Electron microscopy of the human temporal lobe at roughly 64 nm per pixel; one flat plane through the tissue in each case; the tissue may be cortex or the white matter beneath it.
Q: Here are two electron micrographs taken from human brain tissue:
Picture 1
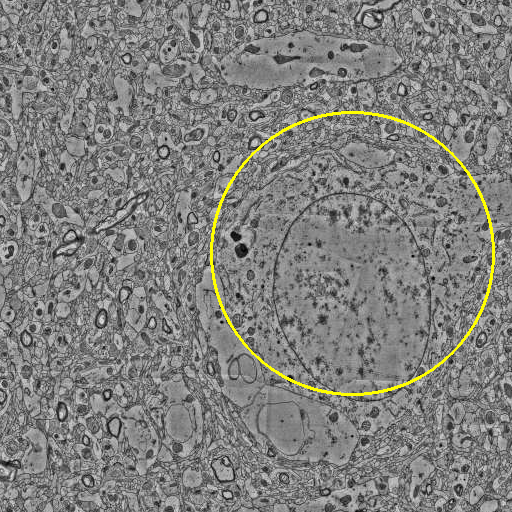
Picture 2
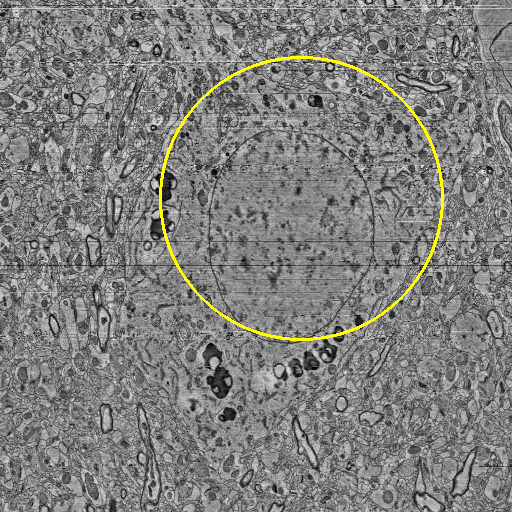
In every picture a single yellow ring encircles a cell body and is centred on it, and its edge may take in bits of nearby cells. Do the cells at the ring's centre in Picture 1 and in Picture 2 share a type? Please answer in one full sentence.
Yes, the cells at the ring's centre in Picture 1 and Picture 2 share a type.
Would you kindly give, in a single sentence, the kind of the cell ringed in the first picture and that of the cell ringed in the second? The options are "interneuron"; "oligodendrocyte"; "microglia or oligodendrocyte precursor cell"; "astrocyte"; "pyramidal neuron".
The cell in the first picture is a pyramidal neuron, and so is the one in the second.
